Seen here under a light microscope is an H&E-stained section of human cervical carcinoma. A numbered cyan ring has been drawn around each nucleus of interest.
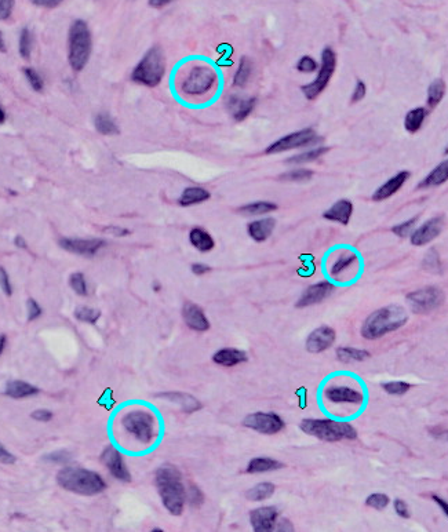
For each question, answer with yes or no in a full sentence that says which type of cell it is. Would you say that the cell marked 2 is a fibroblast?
No, cell 2 is an endothelial cell, not a fibroblast.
